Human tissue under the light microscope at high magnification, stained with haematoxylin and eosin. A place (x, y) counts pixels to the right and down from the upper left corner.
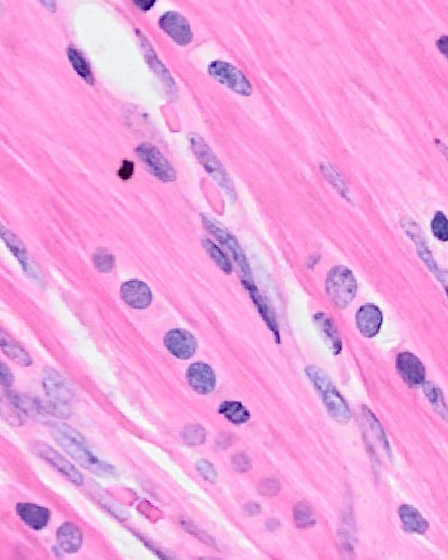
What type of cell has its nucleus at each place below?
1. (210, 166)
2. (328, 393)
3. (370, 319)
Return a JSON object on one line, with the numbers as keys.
{"1": "endothelial cell", "2": "endothelial cell", "3": "carcinoma cell"}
